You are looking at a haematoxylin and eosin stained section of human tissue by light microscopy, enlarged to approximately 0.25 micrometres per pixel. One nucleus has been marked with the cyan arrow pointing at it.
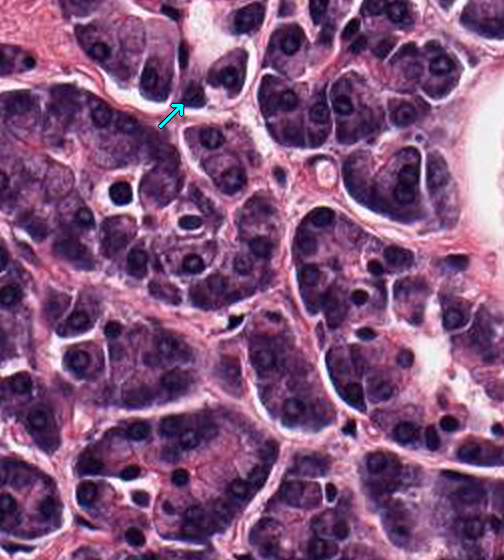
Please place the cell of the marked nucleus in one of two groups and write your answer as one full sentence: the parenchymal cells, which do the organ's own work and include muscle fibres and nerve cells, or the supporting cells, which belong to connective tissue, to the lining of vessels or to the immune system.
In the image the marked nucleus is that of a pancreatic acinar cell, a parenchymal cell.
